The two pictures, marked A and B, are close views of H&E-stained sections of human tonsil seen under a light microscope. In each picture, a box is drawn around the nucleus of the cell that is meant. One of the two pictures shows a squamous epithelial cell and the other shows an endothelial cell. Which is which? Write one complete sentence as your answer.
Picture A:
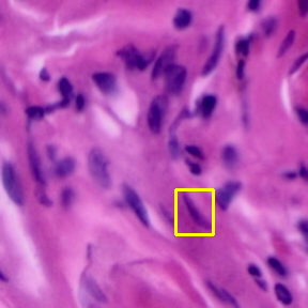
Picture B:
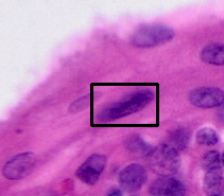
Picture B shows a squamous epithelial cell, while picture A shows an endothelial cell.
